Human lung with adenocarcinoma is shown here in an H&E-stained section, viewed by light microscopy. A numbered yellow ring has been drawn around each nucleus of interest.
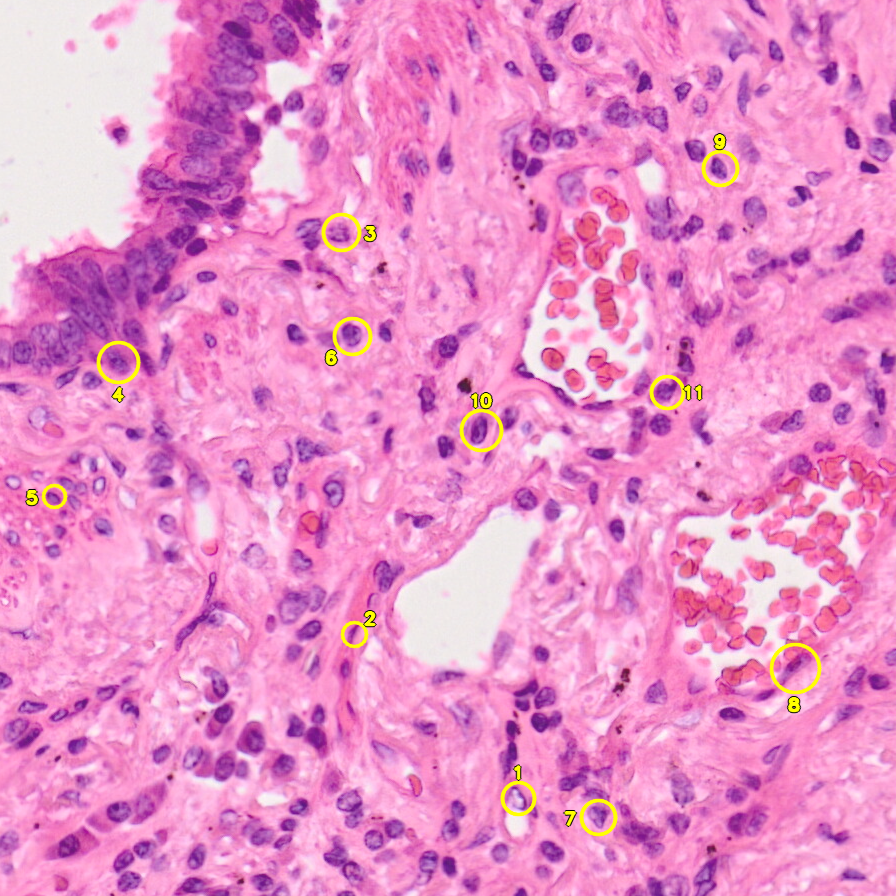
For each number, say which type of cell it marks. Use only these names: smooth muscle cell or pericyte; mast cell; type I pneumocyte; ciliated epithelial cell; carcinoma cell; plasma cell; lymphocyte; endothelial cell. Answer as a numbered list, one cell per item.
1. endothelial cell
2. endothelial cell
3. mast cell
4. ciliated epithelial cell
5. smooth muscle cell or pericyte
6. lymphocyte
7. lymphocyte
8. endothelial cell
9. lymphocyte
10. plasma cell
11. plasma cell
